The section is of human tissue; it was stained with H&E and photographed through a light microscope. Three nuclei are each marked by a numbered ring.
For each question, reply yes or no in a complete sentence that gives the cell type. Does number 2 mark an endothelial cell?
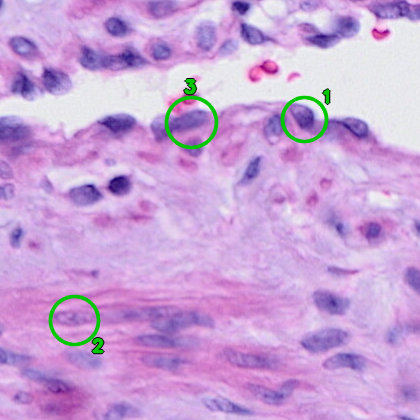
No, number 2 does not mark an endothelial cell; it marks a smooth muscle cell.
